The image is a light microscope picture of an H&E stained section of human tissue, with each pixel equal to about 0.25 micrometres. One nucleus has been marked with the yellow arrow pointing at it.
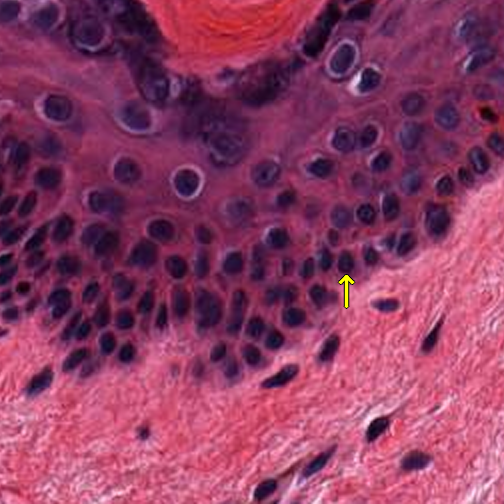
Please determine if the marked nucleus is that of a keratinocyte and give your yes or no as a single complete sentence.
Yes, the nucleus pointed to by the marking is that of a keratinocyte.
